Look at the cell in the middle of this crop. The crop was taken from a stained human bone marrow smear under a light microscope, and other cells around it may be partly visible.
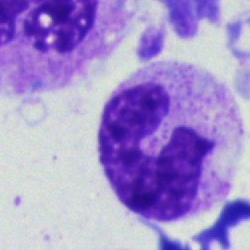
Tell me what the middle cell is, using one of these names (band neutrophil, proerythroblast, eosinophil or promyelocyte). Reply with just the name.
band neutrophil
